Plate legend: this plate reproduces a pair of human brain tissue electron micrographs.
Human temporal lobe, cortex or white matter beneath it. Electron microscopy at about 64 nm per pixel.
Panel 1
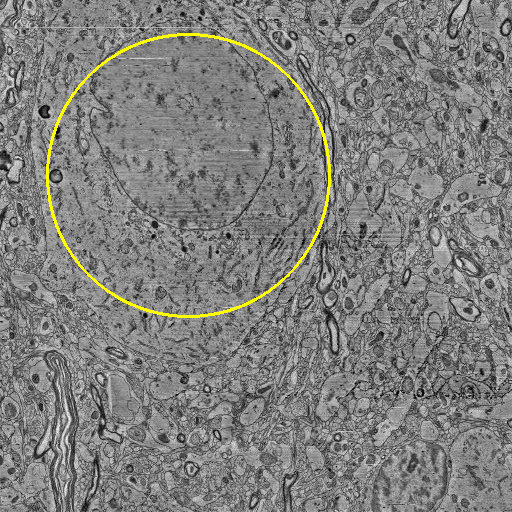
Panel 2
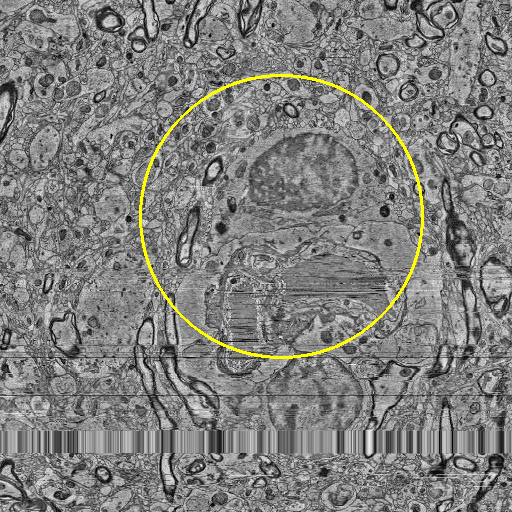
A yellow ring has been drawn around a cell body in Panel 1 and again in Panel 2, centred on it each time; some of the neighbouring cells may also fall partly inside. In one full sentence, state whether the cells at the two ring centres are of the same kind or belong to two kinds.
The ring-centred cells of Panel 1 and Panel 2 belong to two kinds.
